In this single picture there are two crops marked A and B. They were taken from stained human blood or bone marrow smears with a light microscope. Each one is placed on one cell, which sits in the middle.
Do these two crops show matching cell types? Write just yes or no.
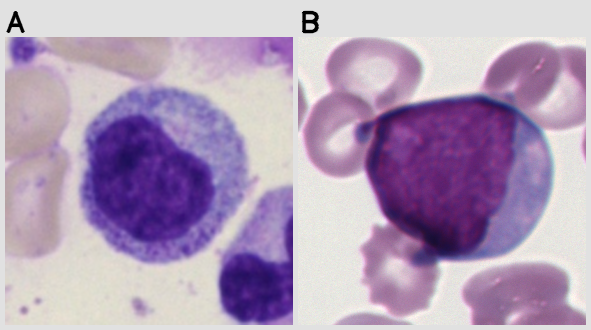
no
